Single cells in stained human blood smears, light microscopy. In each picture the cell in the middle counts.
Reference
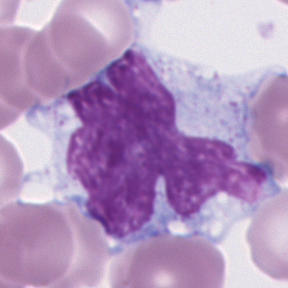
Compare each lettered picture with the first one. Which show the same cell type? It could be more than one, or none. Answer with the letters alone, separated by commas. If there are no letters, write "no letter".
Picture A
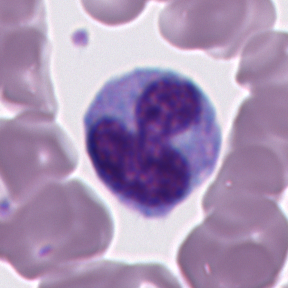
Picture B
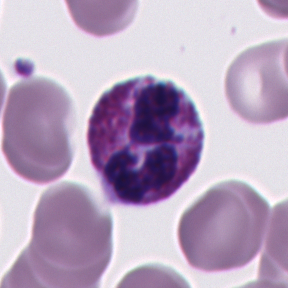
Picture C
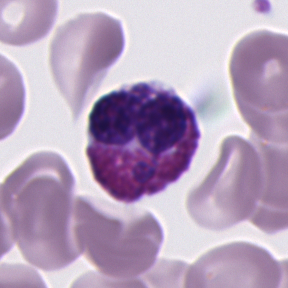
A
